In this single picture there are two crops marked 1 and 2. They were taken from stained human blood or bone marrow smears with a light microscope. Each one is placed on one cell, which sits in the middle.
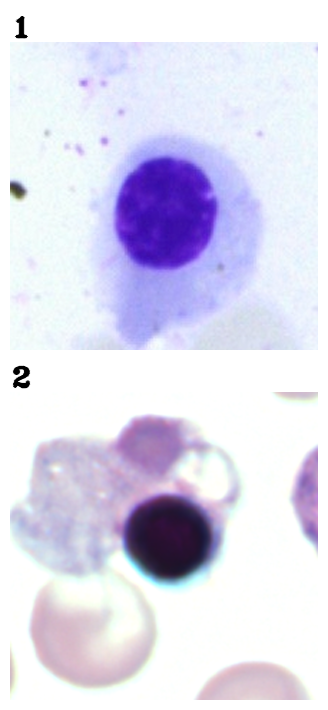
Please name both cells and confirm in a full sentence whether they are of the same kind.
Yes, they do, both crops show erythroblasts.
